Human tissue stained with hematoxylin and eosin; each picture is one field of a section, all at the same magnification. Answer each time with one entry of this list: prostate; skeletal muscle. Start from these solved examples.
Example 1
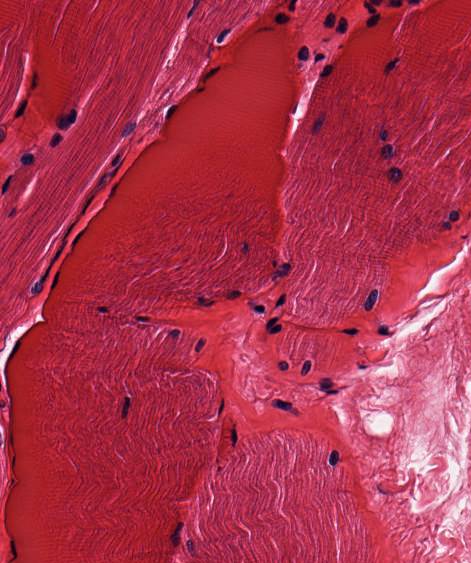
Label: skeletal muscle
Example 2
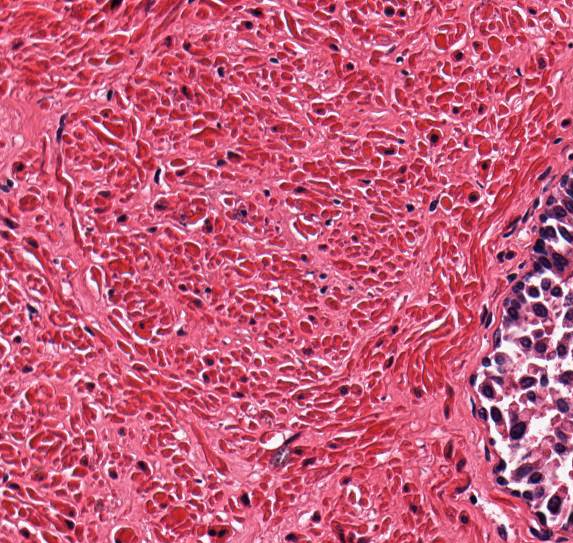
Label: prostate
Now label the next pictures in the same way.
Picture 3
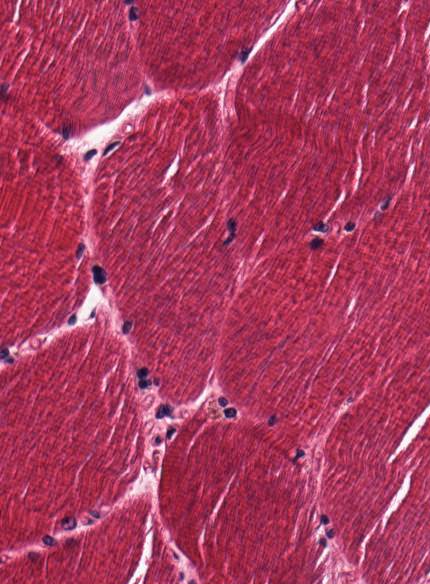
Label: skeletal muscle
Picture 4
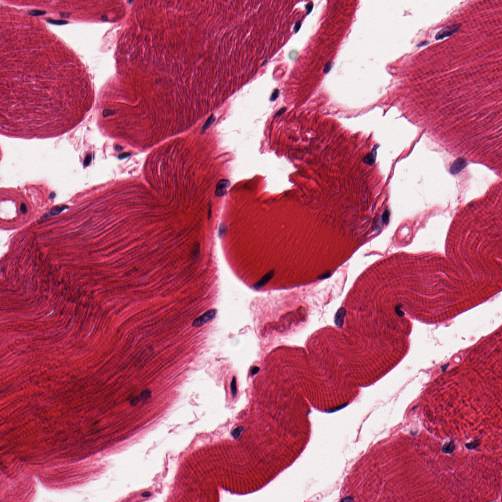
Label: skeletal muscle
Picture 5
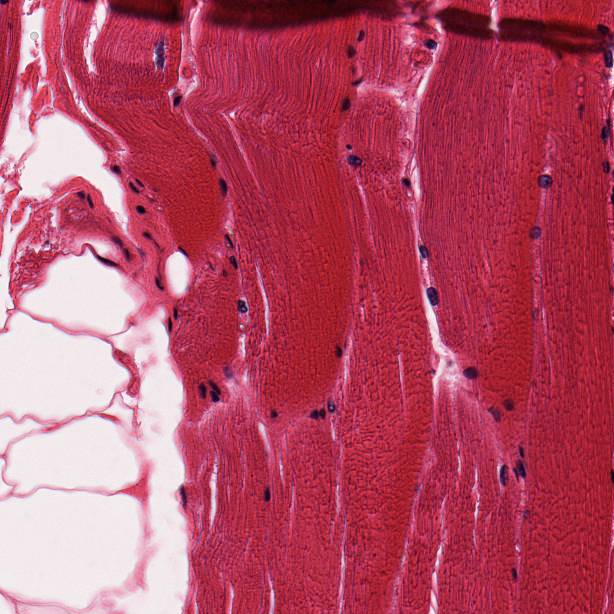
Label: skeletal muscle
